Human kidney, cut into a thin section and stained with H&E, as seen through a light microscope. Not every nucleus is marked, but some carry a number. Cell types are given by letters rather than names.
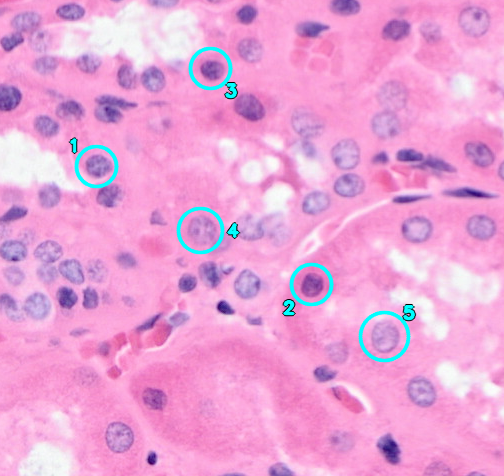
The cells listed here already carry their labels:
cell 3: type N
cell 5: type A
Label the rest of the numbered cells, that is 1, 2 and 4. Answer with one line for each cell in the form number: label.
1: type N
2: type A
4: type A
